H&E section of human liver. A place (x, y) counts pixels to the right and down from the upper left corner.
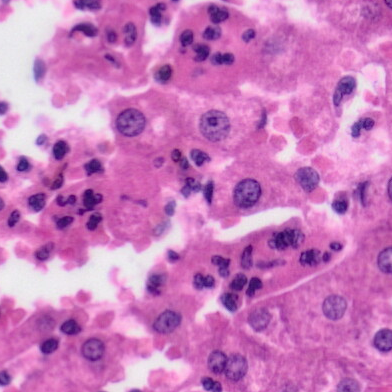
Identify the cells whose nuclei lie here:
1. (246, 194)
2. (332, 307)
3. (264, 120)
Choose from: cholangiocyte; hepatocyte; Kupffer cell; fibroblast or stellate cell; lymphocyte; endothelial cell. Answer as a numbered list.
1. hepatocyte
2. hepatocyte
3. endothelial cell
